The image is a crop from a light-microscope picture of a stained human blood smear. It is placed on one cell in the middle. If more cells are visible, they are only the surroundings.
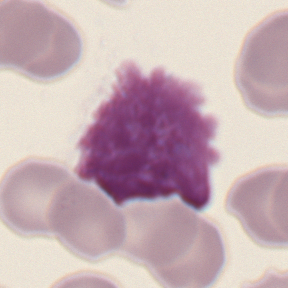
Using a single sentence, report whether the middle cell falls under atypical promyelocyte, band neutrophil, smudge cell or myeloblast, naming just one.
In short, the cell at the center is a smudge cell.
